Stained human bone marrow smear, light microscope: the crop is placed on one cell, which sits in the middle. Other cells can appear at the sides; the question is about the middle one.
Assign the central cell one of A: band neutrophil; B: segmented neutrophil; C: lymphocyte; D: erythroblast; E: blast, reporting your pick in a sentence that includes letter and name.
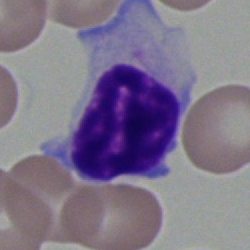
The cell in the center of this crop is a lymphocyte, so option C is the one to pick.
